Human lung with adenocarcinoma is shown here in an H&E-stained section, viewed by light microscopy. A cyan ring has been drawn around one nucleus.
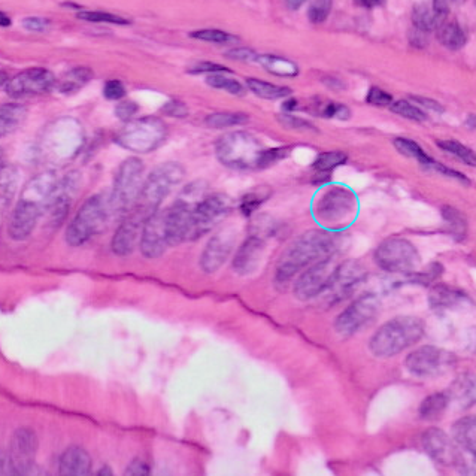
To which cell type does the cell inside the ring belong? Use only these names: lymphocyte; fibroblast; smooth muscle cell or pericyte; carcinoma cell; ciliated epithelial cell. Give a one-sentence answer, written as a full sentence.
For cell typing purposes, the cell inside the ring is a ciliated epithelial cell.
